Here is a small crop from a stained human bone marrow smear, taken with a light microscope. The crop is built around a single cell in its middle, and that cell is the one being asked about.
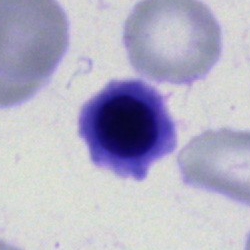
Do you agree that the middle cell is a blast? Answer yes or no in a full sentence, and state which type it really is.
No, the central cell is not a blast, being instead an erythroblast.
